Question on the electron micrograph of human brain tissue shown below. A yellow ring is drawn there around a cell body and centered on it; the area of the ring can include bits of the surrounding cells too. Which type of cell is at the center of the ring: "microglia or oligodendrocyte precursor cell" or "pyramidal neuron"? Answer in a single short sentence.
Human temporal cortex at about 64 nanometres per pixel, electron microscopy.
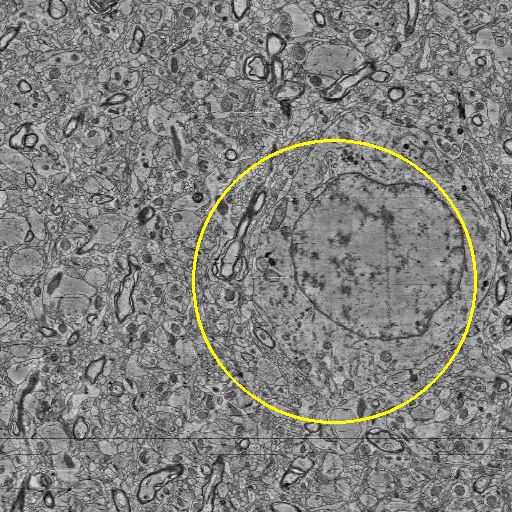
The ring is centered on a pyramidal neuron.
